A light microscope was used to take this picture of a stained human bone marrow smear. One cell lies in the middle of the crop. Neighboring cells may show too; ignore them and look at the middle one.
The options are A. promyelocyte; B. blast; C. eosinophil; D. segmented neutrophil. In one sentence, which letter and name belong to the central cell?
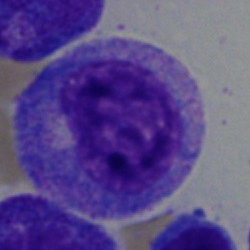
The cell centred in the crop is a promyelocyte, and the correct option is thus A.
